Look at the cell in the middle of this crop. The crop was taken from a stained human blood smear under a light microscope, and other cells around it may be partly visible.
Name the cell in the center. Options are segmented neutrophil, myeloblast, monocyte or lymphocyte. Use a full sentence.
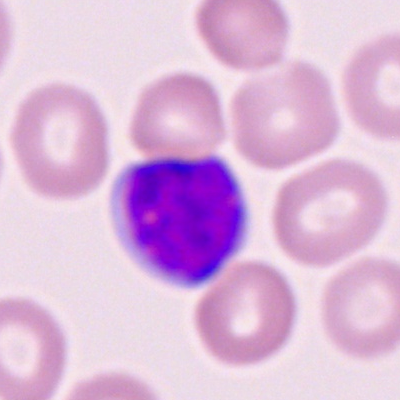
The cell the crop is centered on is a lymphocyte.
